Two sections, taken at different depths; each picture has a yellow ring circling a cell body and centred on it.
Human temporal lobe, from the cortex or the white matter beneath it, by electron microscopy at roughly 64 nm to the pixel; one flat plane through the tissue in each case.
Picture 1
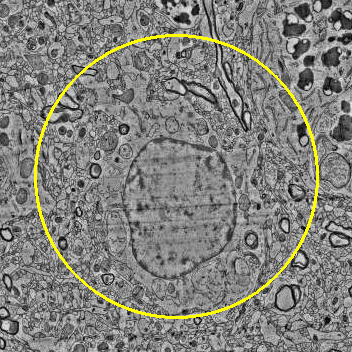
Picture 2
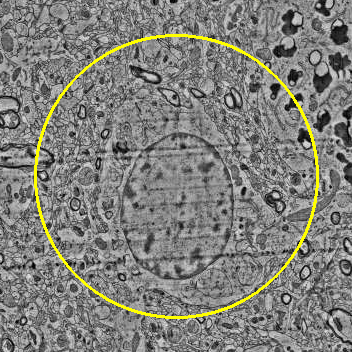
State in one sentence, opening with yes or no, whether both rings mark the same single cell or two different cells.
Yes, the two rings encircle a single cell, not a pair.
